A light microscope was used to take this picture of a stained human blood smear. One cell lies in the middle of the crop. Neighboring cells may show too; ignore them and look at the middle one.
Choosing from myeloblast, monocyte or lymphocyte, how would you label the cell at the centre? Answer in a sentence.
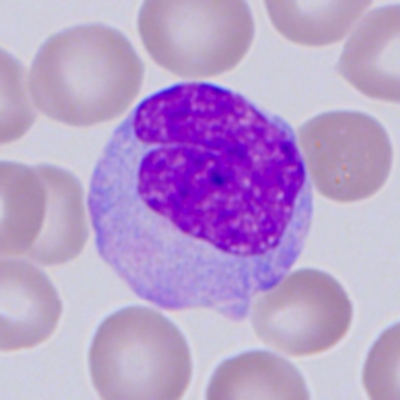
The middle cell in this particular crop is a monocyte.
